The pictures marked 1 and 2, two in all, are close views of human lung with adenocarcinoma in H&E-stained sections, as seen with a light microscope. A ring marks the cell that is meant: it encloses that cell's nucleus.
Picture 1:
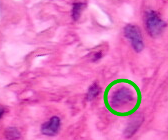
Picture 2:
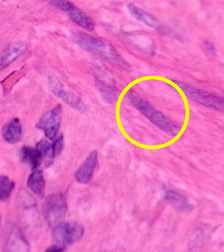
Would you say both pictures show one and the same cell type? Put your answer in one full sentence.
Yes; the cells in both pictures are “smooth muscle cells or pericytes”.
